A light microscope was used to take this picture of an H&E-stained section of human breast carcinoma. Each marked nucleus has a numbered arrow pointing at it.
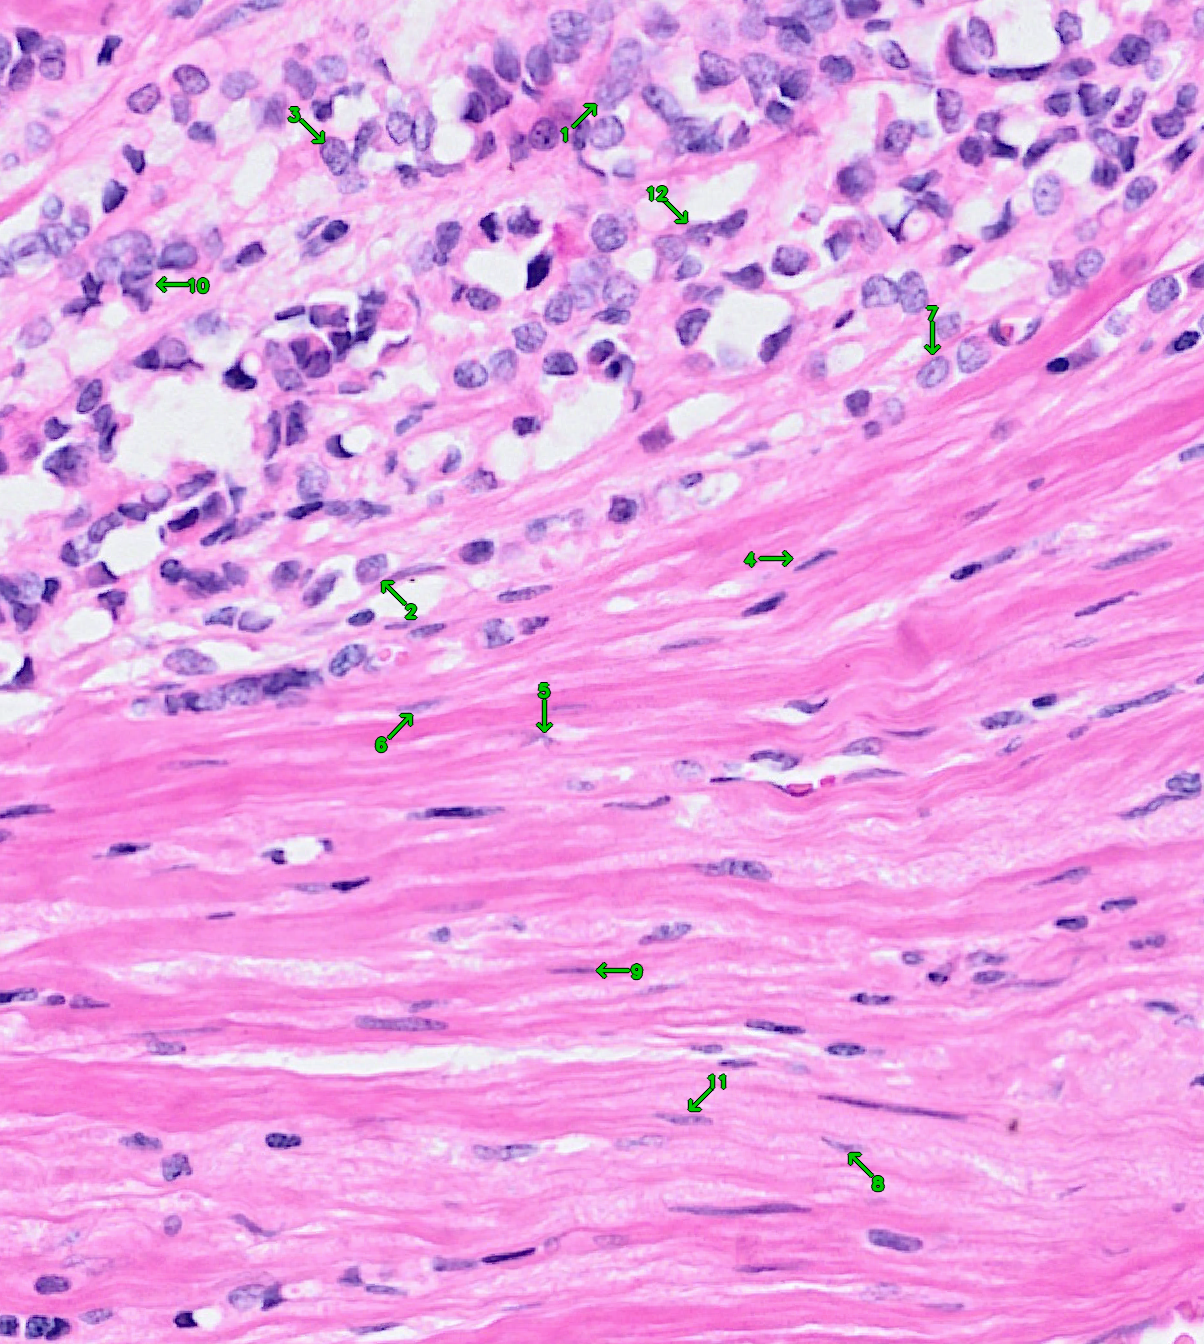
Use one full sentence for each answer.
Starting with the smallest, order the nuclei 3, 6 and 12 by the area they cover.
The order from the smallest nucleus to the largest is 6, 12, 3.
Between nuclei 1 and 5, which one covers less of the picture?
Number 5 is smaller, since number 1 takes up about 4 times as much area.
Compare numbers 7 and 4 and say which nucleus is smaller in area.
The smaller nucleus is 4, and 7 covers roughly 2.5 times its area.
